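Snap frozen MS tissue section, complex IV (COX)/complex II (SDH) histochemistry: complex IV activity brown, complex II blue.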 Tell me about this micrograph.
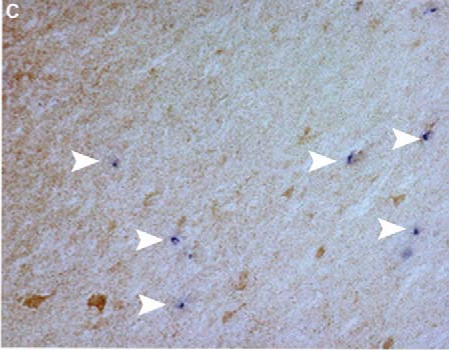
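This lower-magnification field shows pale tan brain tissue with faint streaks running diagonally, in which small blue-stained cells are scattered. The blue cells appear as small dark blue dots, each isolated and spread across the field rather than clustered. Several larger cell bodies stained brown lie mainly toward the lower left, some showing a tapering shape.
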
